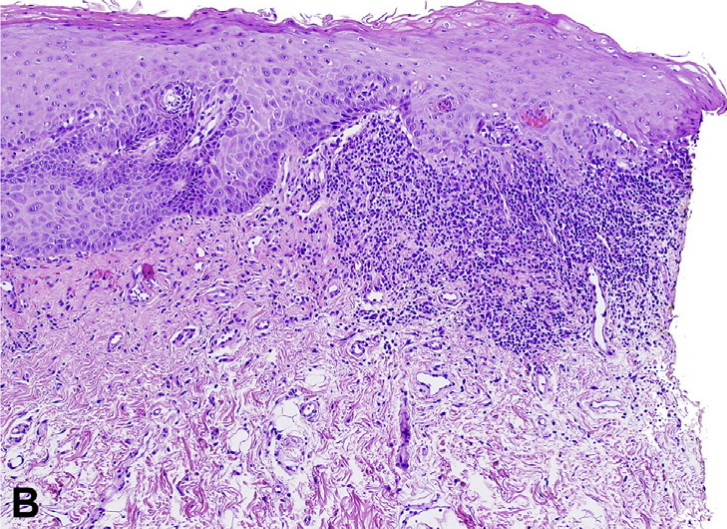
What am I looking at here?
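Thickened squamous epithelium with a pink keratinized surface, overlying a dense band of small dark lymphocytes pressed against its base. The infiltrate blurs the basal layer in part, and a few rounded eosinophilic bodies lie within the epithelium.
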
